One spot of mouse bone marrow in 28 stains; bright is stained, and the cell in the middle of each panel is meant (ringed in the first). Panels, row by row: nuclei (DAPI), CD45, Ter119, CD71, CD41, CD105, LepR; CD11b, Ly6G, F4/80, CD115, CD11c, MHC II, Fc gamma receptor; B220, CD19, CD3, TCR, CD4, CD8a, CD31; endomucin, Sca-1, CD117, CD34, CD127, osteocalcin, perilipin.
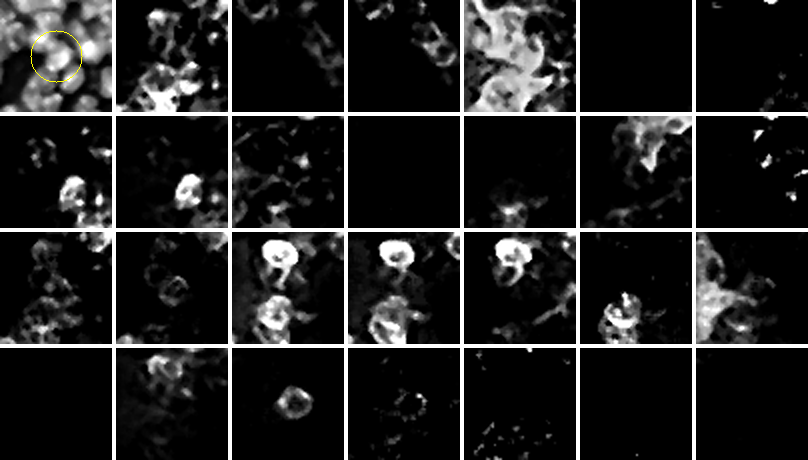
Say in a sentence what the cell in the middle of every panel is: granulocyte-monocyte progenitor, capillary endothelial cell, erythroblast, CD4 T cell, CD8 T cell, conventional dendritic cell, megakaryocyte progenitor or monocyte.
This is a megakaryocyte progenitor.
